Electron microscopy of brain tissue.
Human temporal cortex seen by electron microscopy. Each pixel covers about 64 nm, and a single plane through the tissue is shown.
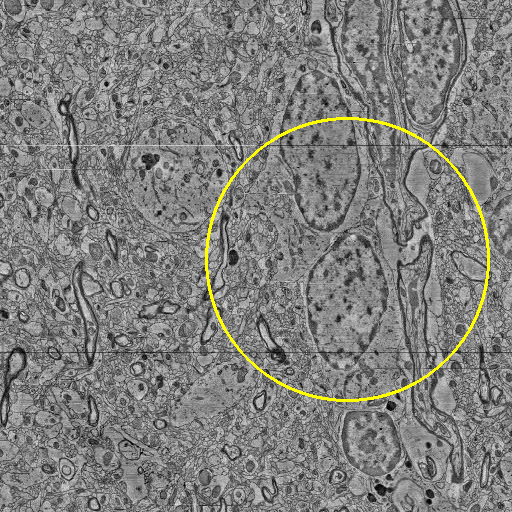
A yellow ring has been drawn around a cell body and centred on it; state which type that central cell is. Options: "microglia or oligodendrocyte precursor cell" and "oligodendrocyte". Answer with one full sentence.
The cell at the middle of the yellow ring is a microglial cell or oligodendrocyte precursor cell in this picture.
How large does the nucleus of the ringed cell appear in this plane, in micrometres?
In this plane the nucleus is clearly longer than it is wide, at approximately 9 by 5 micrometres.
